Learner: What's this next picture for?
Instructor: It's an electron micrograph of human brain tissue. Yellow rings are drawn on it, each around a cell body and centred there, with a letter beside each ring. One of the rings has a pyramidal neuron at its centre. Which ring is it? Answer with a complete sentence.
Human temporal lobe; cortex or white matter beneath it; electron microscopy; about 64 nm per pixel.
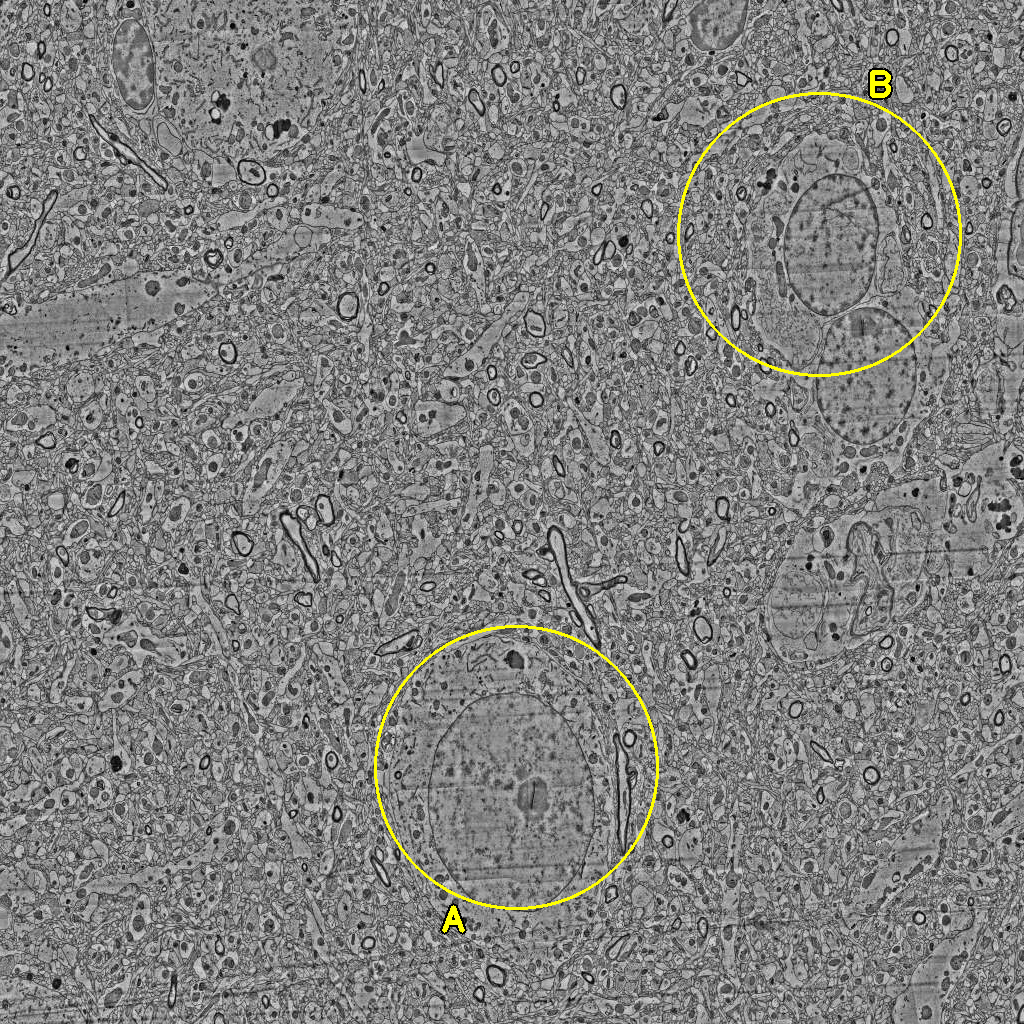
Ring A is centred on it.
